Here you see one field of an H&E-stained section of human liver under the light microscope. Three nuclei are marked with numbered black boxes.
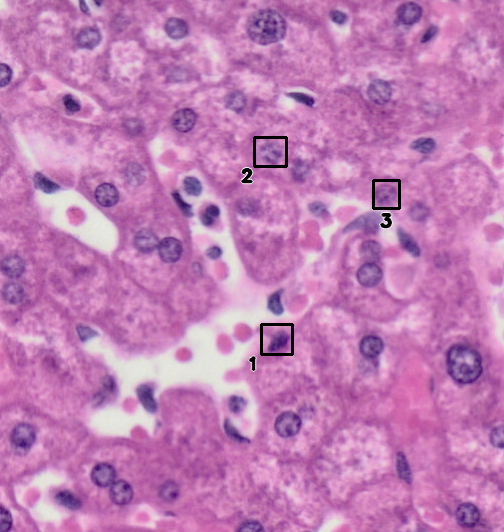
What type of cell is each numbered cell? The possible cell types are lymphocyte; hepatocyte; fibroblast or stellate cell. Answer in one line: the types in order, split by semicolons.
fibroblast or stellate cell; hepatocyte; hepatocyte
